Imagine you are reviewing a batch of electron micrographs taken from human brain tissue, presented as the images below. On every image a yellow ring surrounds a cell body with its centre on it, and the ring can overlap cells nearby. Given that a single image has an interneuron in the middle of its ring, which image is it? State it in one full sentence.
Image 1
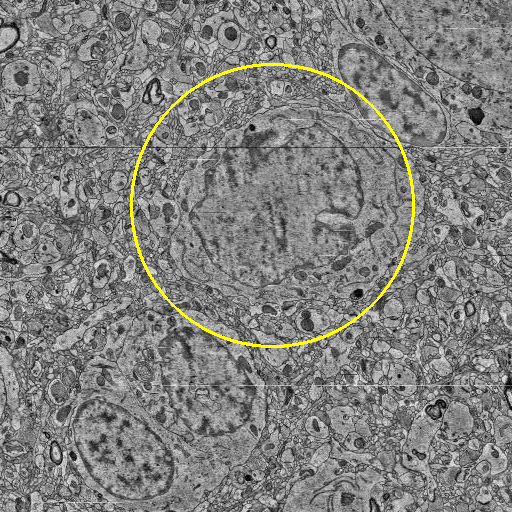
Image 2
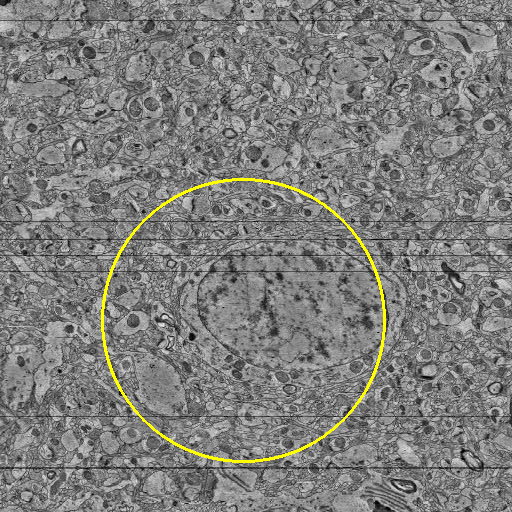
Of all the images, number 1 has the described cell at the centre of its ring.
